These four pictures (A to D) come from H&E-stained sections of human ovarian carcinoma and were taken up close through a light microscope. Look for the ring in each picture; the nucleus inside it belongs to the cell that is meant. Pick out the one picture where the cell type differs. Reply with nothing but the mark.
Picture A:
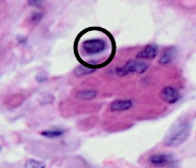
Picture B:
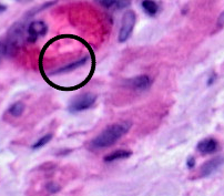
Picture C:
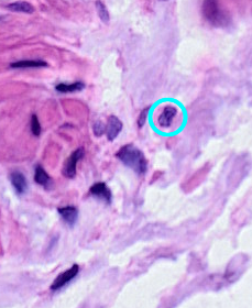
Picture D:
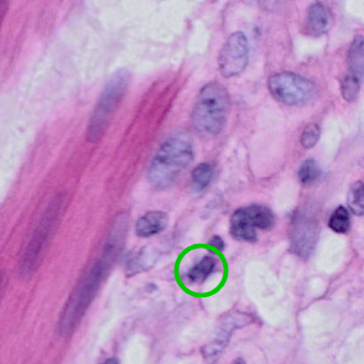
B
